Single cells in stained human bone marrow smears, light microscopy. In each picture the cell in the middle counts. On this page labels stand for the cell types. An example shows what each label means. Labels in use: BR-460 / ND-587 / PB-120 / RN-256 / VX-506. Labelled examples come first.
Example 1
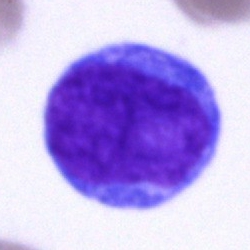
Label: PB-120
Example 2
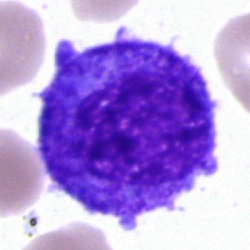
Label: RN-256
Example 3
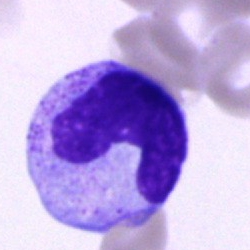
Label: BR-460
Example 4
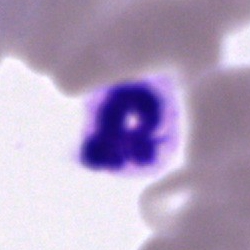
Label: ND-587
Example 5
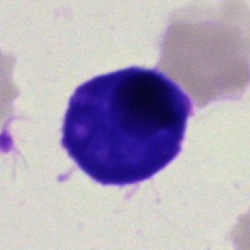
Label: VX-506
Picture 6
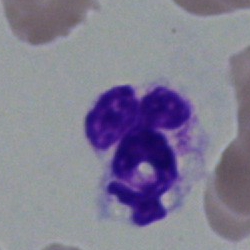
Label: ND-587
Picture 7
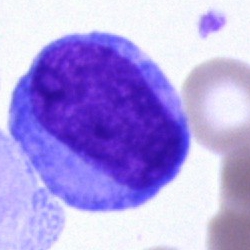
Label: PB-120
